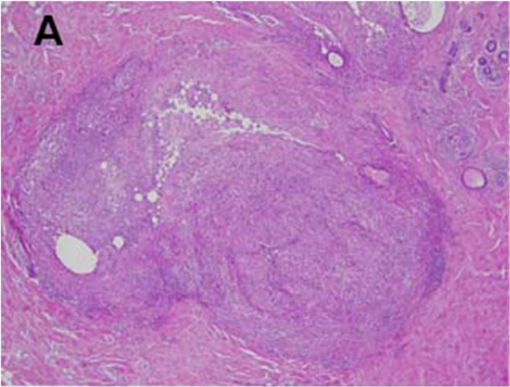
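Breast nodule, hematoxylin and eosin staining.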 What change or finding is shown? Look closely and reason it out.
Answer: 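Chronic granulomatous inflammation of nodular arrangement. A large rounded, well-circumscribed cellular nodule sits within pink fibrous stroma. The nodule is densely cellular with a darker purple rim.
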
